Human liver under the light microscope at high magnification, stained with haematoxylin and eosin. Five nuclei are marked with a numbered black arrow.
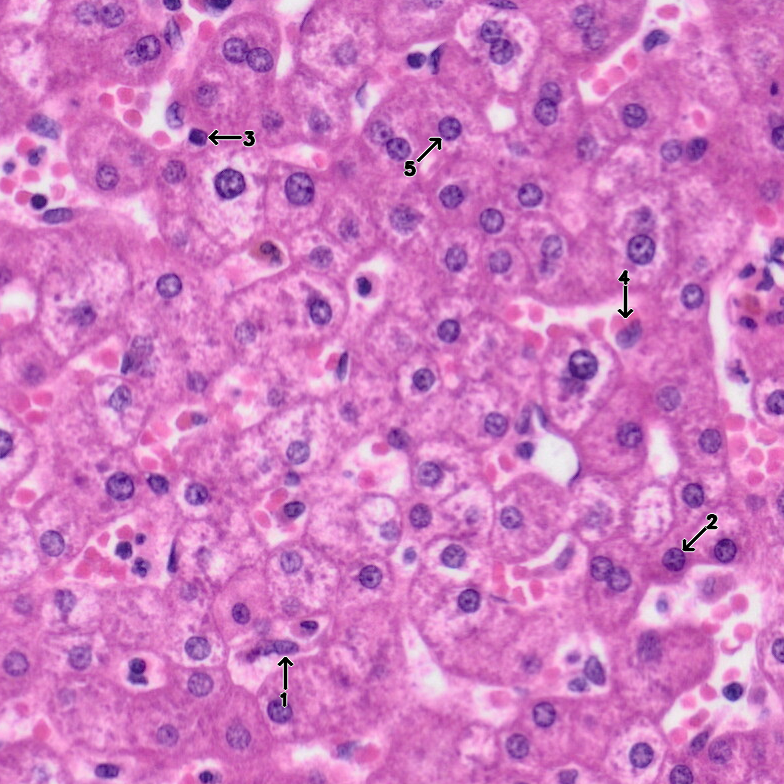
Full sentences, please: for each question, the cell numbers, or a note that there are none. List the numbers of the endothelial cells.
Cell number 4 alone is an endothelial cell; the rest are not.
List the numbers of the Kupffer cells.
With the exception of cell 1, no marked cell is a Kupffer cell.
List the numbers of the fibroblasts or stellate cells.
The cell marked by number 3 is a fibroblast or stellate cell; the other marked cells are not.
